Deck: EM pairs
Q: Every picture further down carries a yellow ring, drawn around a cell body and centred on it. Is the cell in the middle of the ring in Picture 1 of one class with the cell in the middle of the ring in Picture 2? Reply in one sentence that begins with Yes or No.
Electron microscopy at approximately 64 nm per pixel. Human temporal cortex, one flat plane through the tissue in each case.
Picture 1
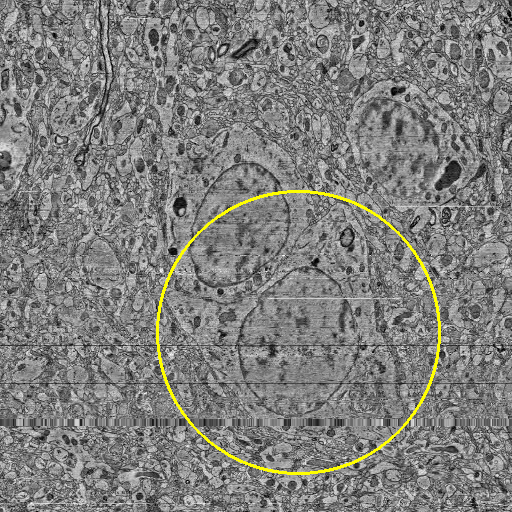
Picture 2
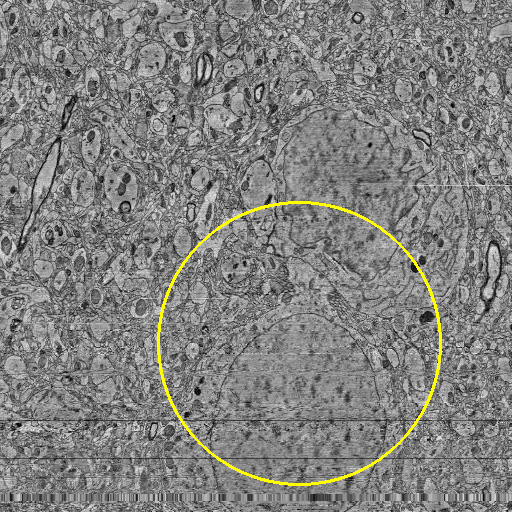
Yes, the cell centred in the ring of Picture 1 and the one in Picture 2 belong to one class.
